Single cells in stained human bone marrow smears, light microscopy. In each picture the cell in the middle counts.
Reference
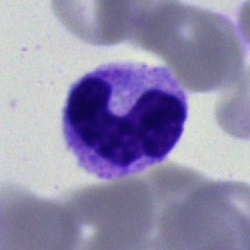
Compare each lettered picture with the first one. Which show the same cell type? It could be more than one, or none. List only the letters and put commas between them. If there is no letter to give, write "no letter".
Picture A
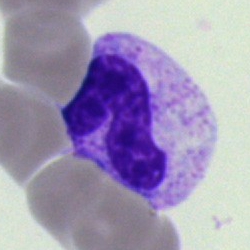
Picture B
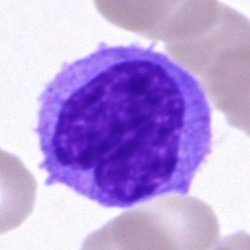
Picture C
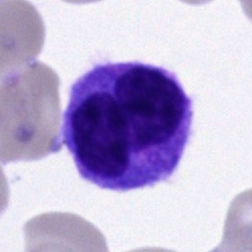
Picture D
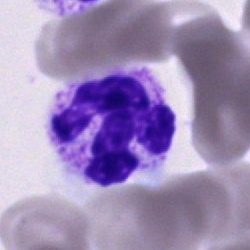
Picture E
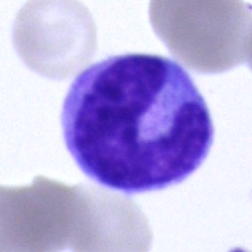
A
